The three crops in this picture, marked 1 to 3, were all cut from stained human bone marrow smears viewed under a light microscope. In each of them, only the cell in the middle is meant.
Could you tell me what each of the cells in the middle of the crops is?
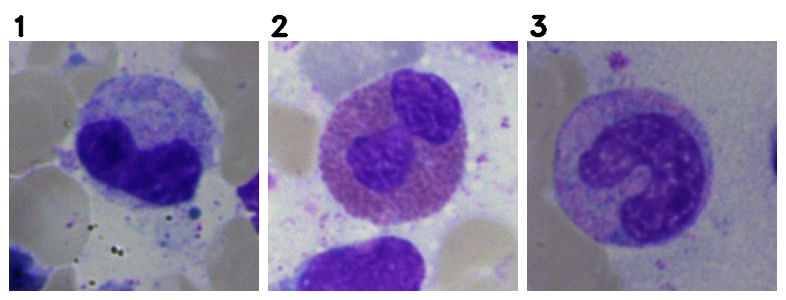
1: metamyelocyte
2: eosinophil
3: band neutrophil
